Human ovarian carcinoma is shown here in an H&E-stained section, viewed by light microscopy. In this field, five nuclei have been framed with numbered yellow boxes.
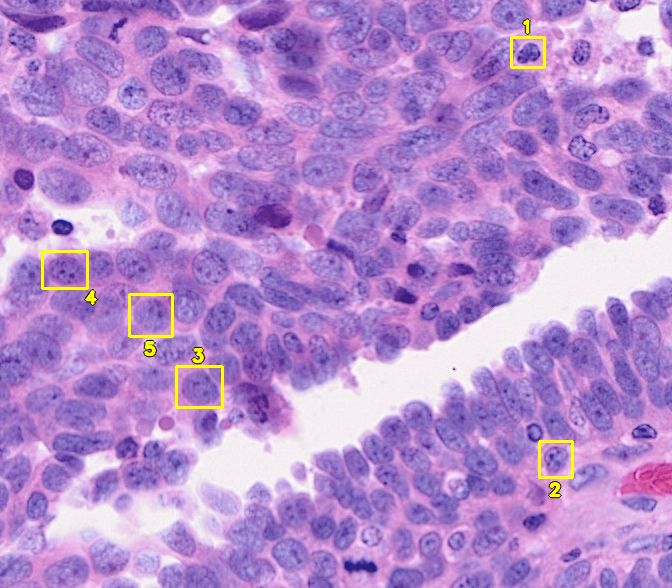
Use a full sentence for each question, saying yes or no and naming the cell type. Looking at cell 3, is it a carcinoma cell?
Yes, the cell that bears the number 3 is a carcinoma cell.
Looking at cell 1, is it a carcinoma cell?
No, cell 1 is identified not as a carcinoma cell but as a lymphocyte.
